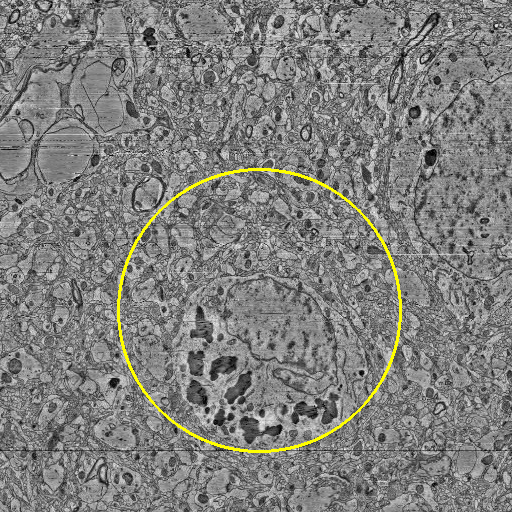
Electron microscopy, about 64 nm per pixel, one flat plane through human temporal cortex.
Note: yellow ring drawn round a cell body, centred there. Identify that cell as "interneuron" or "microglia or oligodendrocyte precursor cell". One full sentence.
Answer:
The cell in the middle of the ring is an interneuron.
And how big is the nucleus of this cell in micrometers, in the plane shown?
Roughly 9 micrometres by 6 micrometres, in this plane.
